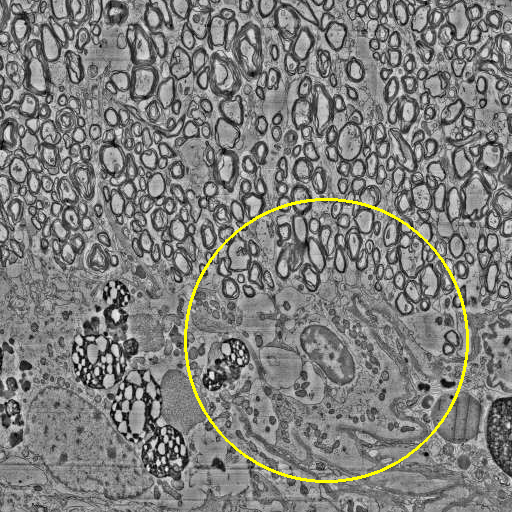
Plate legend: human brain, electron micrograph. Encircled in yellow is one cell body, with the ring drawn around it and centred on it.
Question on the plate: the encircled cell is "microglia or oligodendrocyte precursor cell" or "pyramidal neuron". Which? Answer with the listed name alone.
microglia or oligodendrocyte precursor cell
